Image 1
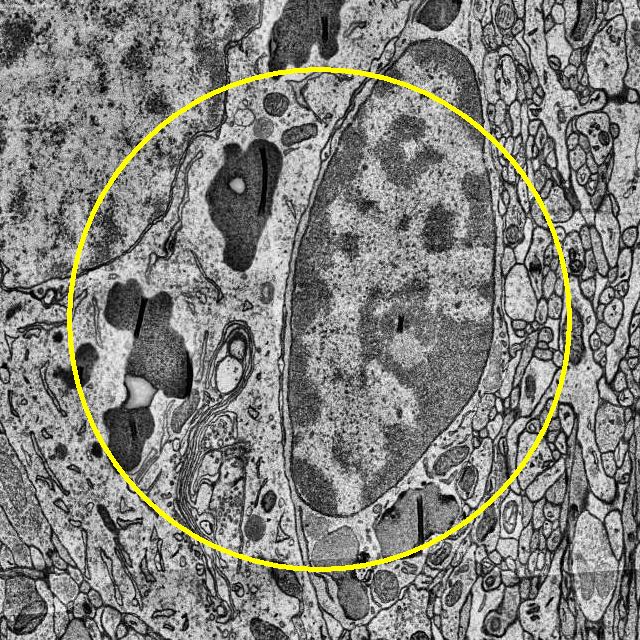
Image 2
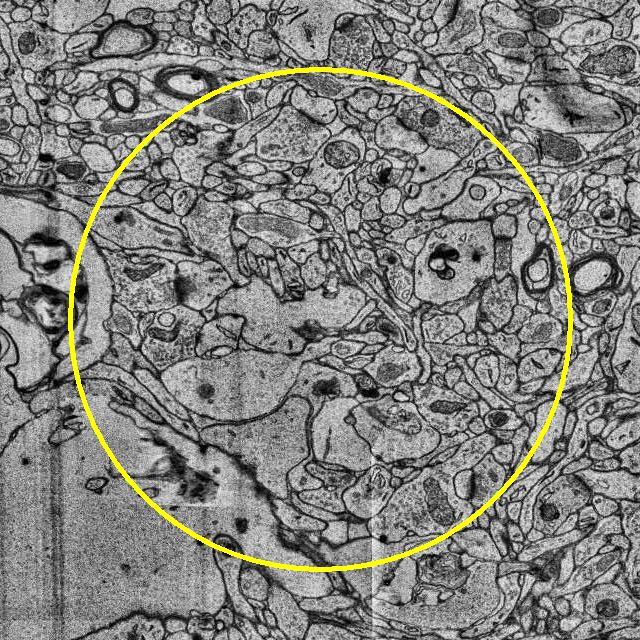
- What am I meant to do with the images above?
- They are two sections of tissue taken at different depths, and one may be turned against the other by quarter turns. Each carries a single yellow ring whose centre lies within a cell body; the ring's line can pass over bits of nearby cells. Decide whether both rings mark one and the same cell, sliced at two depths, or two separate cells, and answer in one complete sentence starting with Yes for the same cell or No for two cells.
No, in this micrograph the two rings mark two different cells.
